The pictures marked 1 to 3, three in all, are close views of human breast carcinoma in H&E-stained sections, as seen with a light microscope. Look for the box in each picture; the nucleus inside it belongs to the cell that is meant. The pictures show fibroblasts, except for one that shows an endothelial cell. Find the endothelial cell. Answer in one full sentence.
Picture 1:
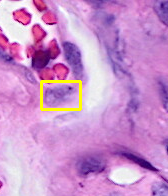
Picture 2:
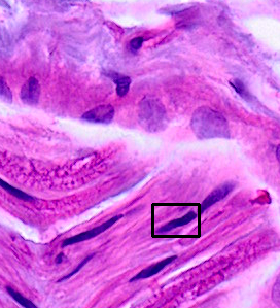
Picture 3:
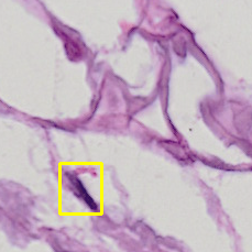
The cell in picture 1 is the endothelial cell.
